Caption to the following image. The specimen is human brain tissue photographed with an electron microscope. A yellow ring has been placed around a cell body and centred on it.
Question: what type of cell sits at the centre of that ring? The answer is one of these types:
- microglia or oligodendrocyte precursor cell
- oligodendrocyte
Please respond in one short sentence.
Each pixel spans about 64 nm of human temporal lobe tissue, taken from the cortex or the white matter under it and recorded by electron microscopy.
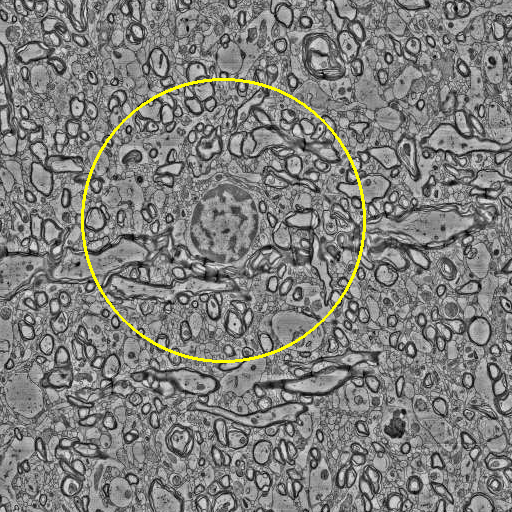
The ring surrounds the cell body of a microglial cell or oligodendrocyte precursor cell.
